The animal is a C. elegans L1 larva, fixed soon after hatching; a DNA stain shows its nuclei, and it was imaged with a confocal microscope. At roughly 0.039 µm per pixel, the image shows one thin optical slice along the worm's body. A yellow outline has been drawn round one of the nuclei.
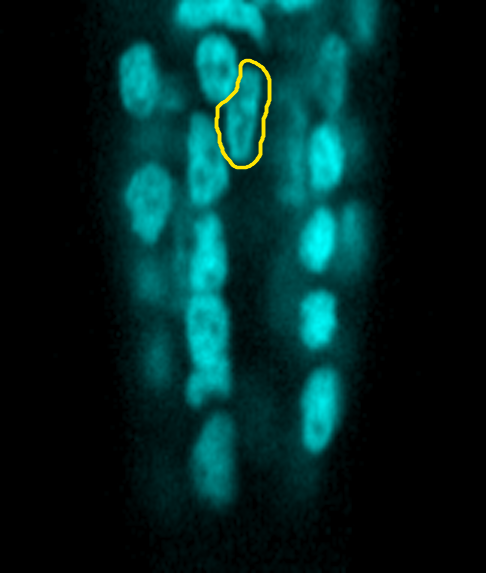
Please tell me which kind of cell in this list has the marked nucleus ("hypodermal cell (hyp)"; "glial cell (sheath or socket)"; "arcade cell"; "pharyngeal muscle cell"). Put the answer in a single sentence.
This nucleus is from a pharyngeal muscle cell.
